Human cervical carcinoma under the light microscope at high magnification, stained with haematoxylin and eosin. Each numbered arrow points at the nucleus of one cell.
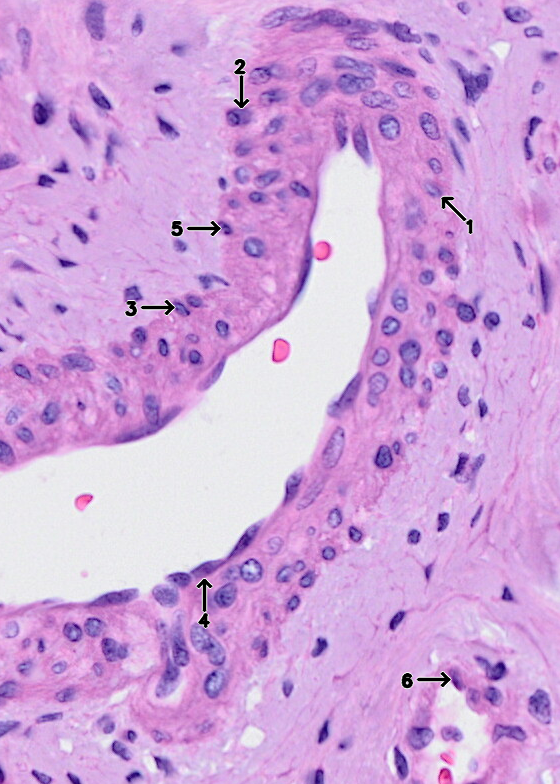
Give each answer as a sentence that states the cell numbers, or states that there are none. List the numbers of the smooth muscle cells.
Identified as smooth muscle cells are the cells numbered 1, 2, 3 and 5.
